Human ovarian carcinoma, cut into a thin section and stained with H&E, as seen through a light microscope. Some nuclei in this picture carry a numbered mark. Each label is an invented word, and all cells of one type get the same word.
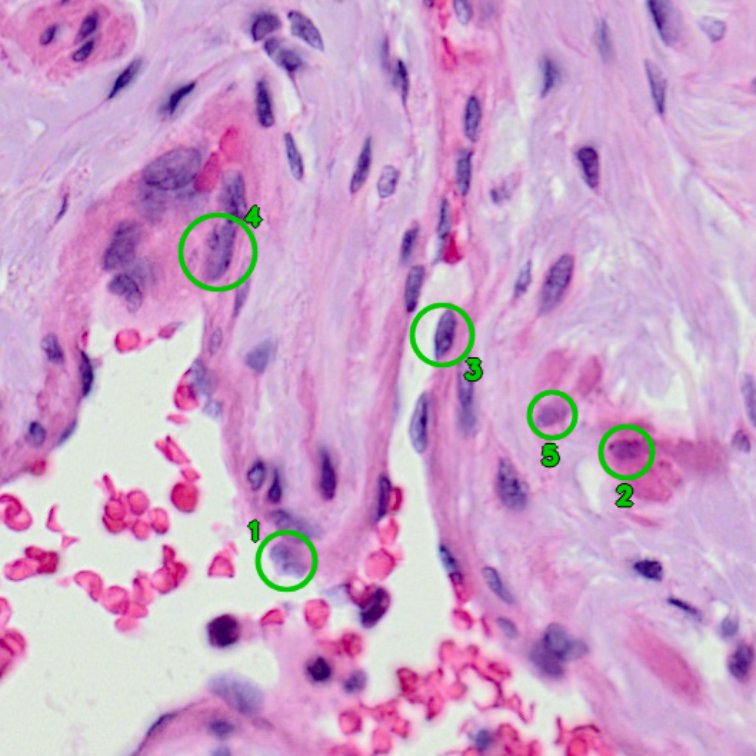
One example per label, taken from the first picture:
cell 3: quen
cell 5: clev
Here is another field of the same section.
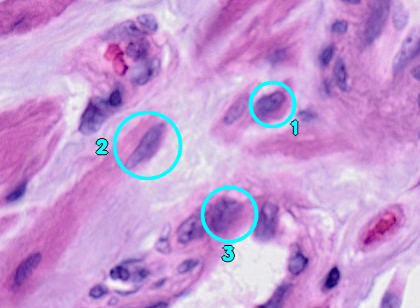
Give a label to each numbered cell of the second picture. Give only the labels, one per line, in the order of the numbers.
clev
clev
quen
